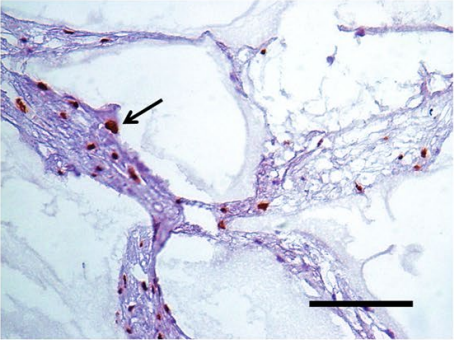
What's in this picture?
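Bands of fibrous tissue run between the spaces, containing many spindle-shaped and oval cells with elongated nuclei aligned along the bands. Most nuclei stain purple, while a number of nuclei stain dark brown and stand out clearly against the lilac fibrous matrix. At the edges of the bands the tissue becomes looser, with fine wispy fibres extending into the pale spaces. The brown-nucleated cells are scattered among the purple-nucleated ones rather than grouped in one place.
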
